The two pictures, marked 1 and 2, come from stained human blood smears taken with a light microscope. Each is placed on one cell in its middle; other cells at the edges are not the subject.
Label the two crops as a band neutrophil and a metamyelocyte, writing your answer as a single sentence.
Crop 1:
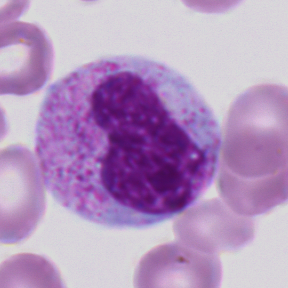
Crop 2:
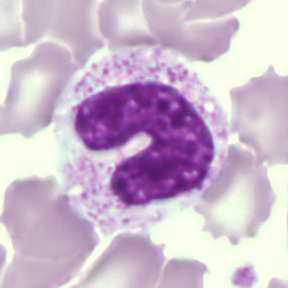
It is a metamyelocyte that crop 1 shows, and a band neutrophil that crop 2 shows.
